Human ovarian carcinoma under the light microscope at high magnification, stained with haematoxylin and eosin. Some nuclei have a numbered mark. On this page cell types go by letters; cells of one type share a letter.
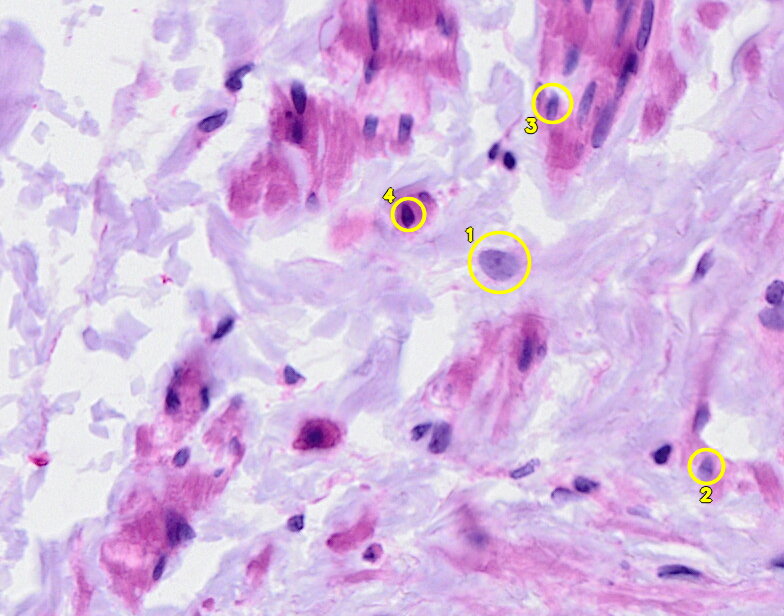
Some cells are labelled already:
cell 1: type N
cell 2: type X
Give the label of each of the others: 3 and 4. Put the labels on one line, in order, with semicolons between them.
type X; type X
